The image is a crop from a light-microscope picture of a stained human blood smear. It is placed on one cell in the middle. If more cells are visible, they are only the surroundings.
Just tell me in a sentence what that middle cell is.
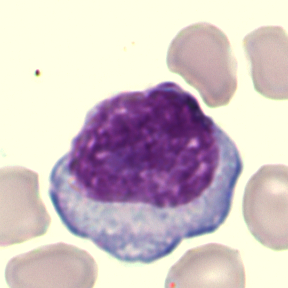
Here the centrally located cell is a plasma cell.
